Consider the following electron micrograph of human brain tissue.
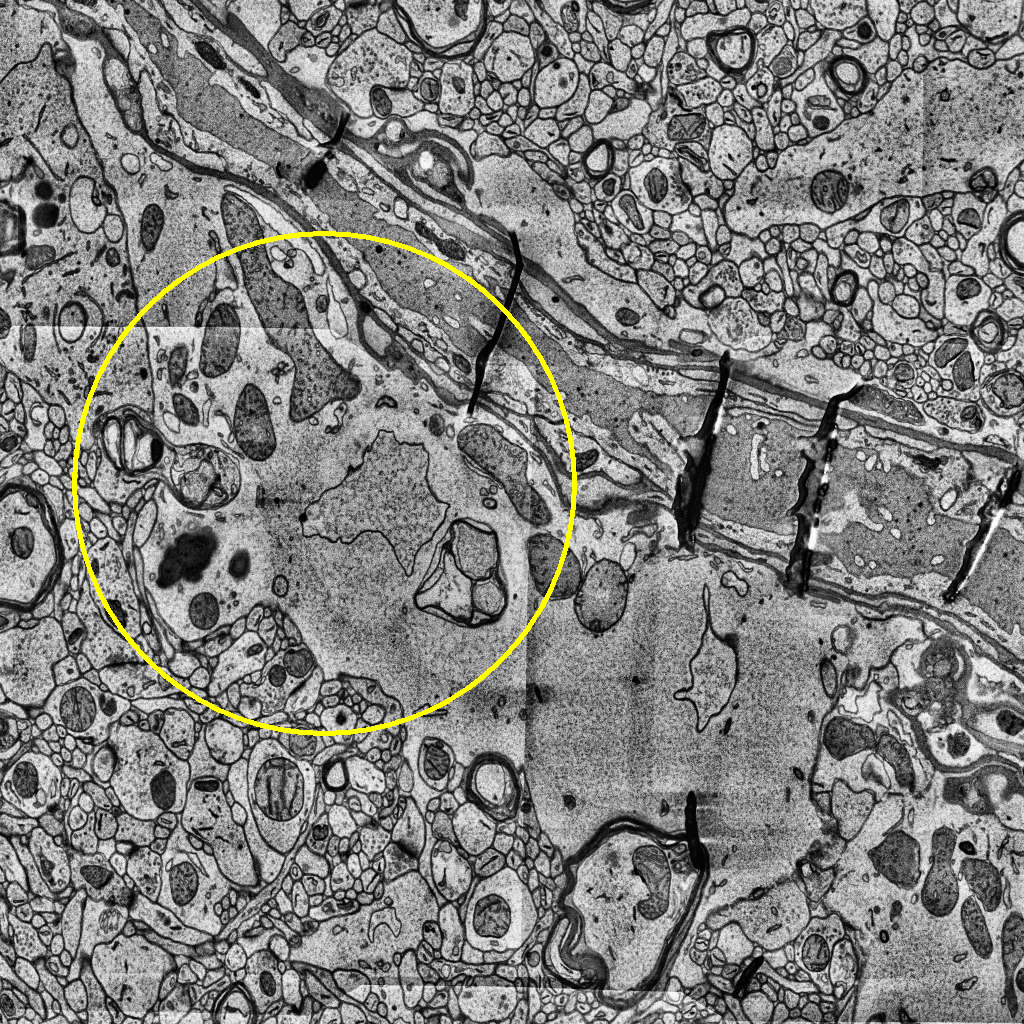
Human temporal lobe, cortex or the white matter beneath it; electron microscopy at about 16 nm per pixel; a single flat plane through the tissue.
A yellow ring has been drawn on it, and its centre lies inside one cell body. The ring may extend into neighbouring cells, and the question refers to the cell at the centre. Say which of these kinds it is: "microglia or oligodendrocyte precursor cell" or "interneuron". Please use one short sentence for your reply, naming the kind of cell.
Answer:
The centre of the ring falls on a microglial cell or oligodendrocyte precursor cell.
